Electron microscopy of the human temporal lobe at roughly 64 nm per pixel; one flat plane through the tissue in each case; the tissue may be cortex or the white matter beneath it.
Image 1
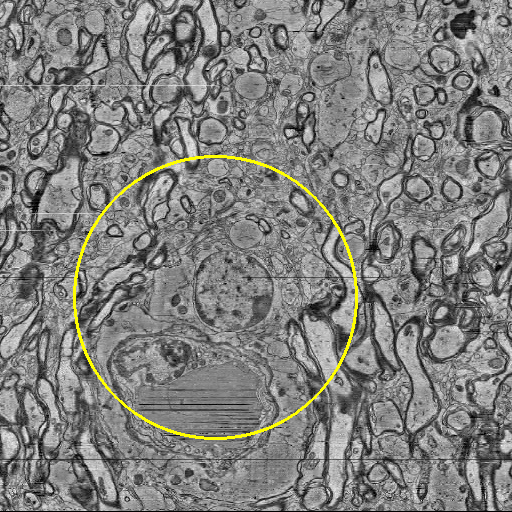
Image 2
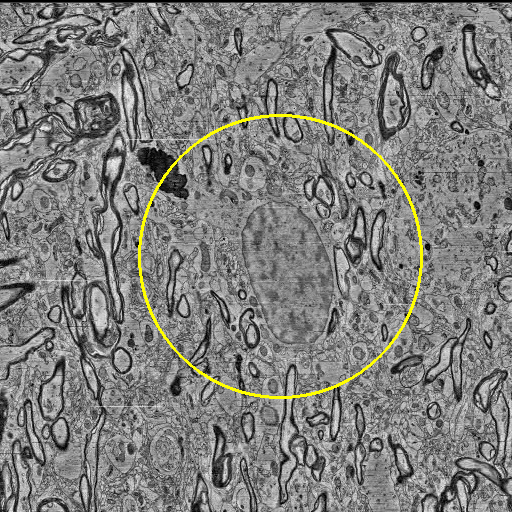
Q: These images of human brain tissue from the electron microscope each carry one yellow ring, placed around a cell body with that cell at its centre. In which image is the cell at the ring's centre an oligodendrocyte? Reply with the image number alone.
2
